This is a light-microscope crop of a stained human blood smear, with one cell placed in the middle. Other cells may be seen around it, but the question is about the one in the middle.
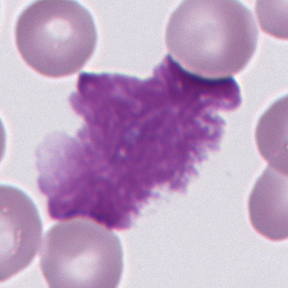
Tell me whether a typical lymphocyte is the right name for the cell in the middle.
no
